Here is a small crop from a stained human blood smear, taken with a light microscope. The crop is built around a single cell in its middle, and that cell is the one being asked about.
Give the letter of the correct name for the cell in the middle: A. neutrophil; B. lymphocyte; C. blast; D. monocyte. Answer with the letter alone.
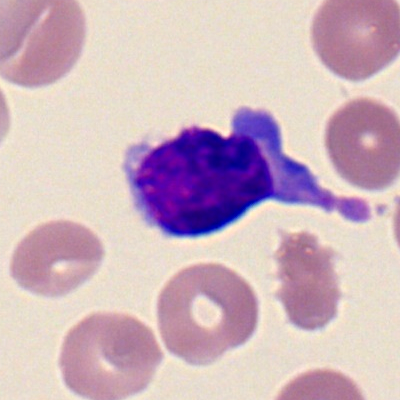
B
